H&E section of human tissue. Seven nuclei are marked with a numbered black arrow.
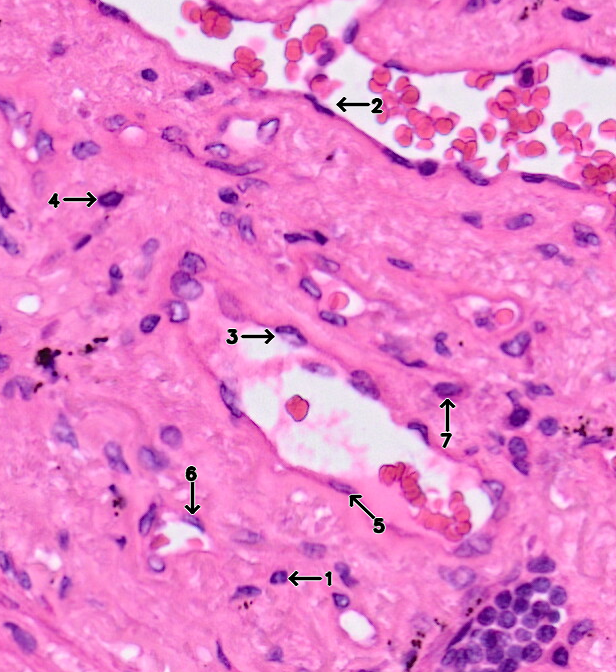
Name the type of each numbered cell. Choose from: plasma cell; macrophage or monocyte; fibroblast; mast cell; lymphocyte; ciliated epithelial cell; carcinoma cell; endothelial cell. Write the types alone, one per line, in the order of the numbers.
mast cell
endothelial cell
endothelial cell
plasma cell
endothelial cell
endothelial cell
plasma cell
